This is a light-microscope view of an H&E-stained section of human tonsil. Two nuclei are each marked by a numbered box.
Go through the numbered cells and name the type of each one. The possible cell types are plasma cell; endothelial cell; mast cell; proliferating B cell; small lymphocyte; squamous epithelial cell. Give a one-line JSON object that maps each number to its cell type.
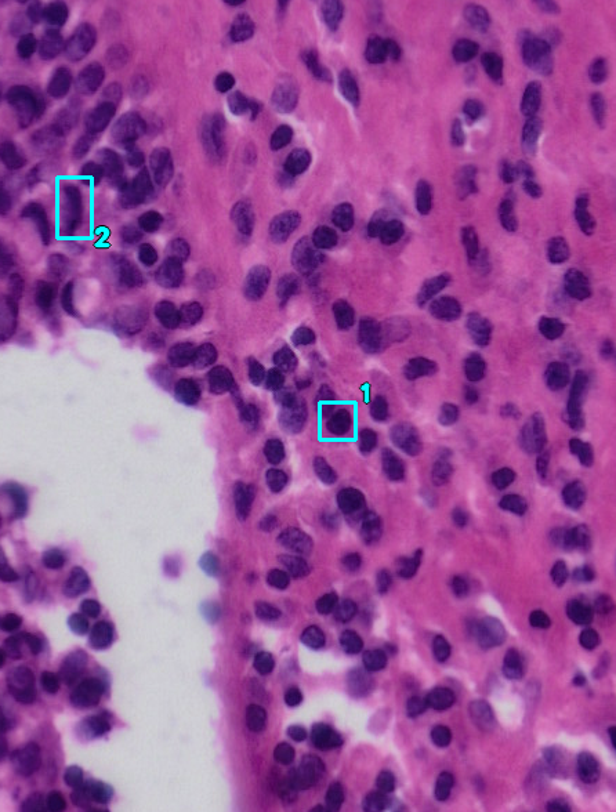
{"1": "plasma cell", "2": "squamous epithelial cell"}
